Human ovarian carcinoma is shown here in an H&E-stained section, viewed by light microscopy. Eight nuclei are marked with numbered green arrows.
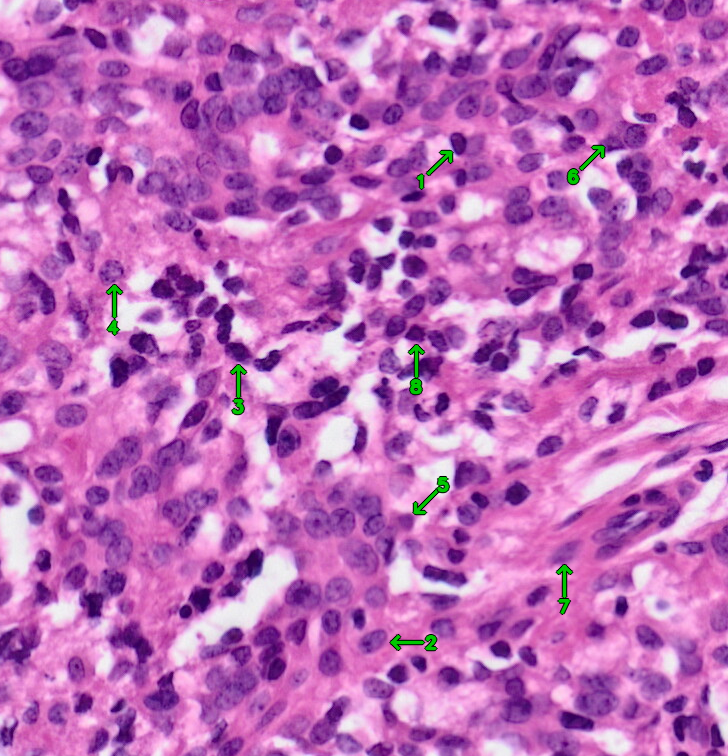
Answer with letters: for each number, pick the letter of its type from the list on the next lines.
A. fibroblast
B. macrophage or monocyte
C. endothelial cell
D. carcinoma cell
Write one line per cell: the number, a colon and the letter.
1: D
2: B
3: D
4: B
5: D
6: D
7: A
8: D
